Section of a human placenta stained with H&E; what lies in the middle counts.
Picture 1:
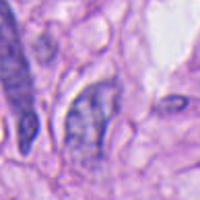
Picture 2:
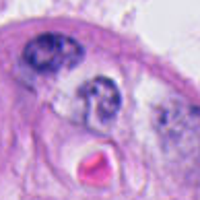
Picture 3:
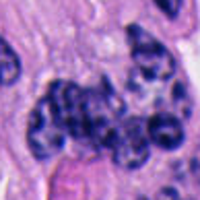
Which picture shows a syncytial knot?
Picture 3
